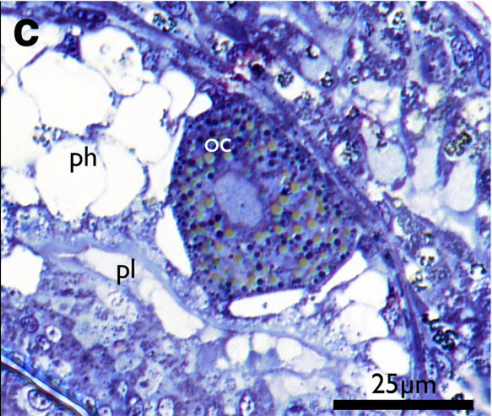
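An oocyte lies within the pharyngeal wall, beside the large empty-looking vacuolated cells of the pharynx. A pale round nucleus sits near the centre of the cell, standing out against the granular cytoplasm.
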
